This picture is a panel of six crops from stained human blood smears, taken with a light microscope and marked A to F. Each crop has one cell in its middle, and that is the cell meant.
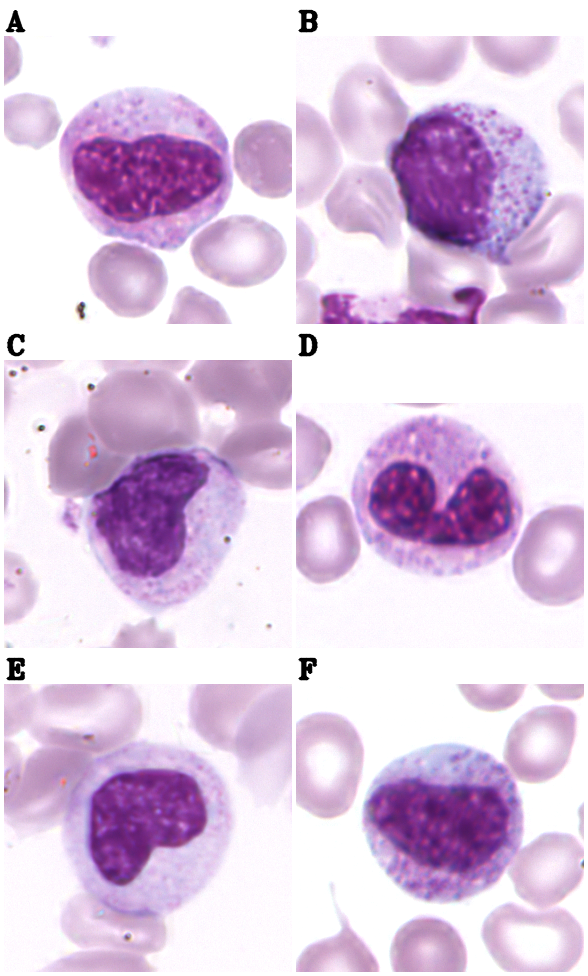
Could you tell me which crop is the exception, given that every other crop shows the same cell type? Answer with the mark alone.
D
